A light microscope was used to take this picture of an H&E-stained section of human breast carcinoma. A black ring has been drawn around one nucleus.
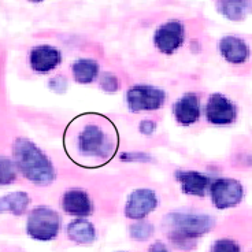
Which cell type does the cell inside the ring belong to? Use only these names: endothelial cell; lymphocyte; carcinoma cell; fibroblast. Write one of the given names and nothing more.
lymphocyte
